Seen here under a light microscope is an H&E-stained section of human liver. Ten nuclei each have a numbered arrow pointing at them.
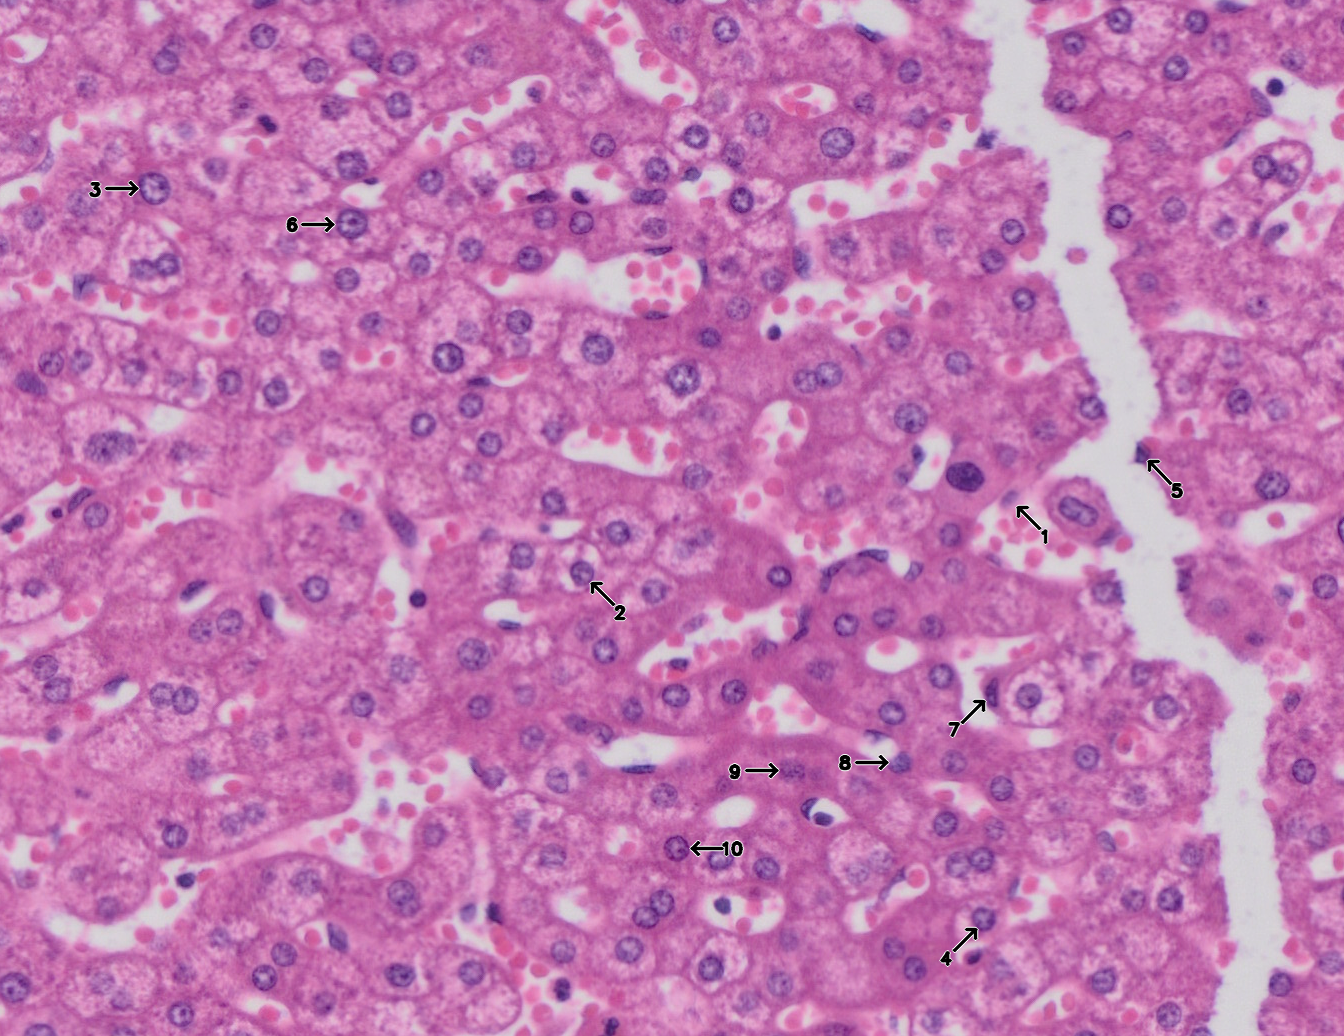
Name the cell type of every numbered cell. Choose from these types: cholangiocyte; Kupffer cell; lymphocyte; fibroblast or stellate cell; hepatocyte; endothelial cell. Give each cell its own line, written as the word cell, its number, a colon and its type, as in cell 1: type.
cell 1: Kupffer cell
cell 2: hepatocyte
cell 3: hepatocyte
cell 4: hepatocyte
cell 5: endothelial cell
cell 6: hepatocyte
cell 7: Kupffer cell
cell 8: fibroblast or stellate cell
cell 9: hepatocyte
cell 10: hepatocyte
